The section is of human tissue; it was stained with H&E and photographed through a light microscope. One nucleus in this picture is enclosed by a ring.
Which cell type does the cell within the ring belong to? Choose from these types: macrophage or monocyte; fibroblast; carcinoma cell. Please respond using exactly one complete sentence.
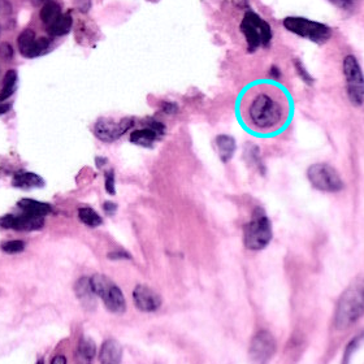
The identity of the cell within the ring is that of a macrophage or monocyte.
